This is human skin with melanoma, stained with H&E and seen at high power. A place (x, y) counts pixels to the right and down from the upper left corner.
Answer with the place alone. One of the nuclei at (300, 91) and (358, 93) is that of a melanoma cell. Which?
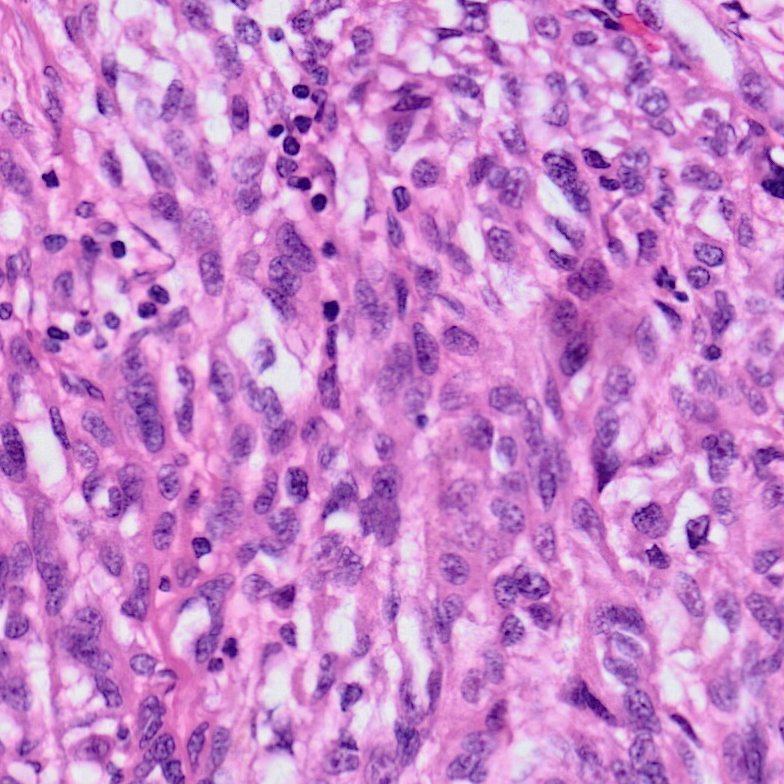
(358, 93)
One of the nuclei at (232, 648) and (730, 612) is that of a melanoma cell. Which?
(730, 612)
